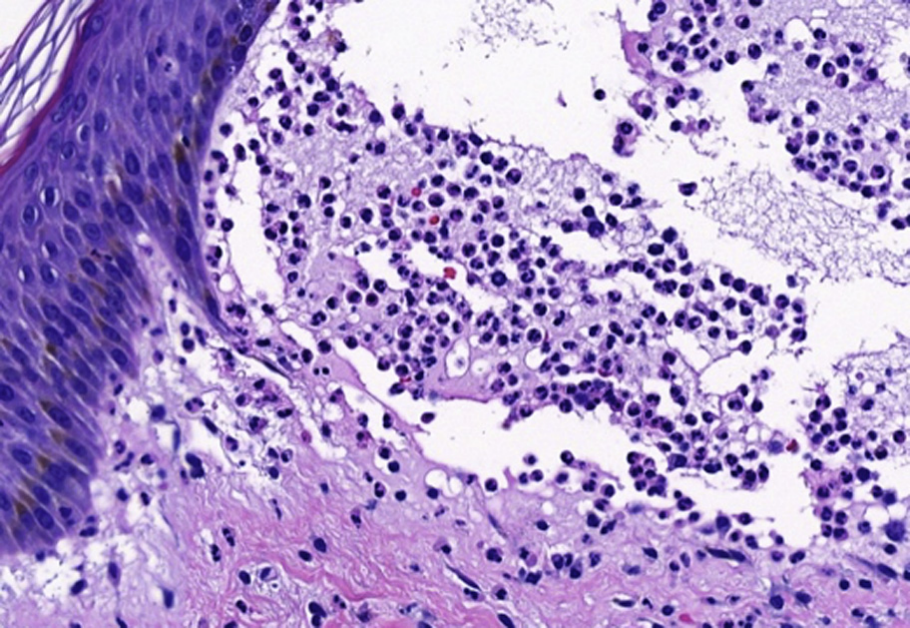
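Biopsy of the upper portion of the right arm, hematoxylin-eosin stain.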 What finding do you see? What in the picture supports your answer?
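The epidermis at upper left is separated from the underlying pink dermal collagen by a wide cleft. The cleft lies beneath the epidermis, not within it. The cleft holds pale fibrillar material and many loose inflammatory cells. So: subepidermal blister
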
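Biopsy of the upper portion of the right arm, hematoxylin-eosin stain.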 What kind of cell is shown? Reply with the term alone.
Neutrophils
